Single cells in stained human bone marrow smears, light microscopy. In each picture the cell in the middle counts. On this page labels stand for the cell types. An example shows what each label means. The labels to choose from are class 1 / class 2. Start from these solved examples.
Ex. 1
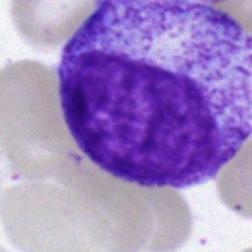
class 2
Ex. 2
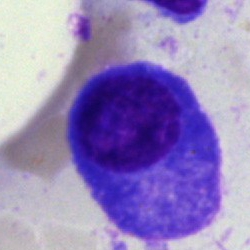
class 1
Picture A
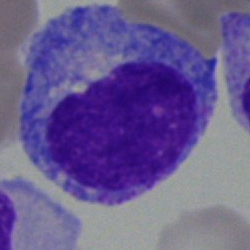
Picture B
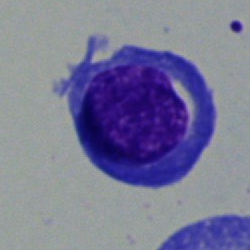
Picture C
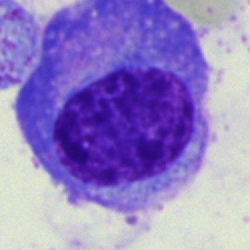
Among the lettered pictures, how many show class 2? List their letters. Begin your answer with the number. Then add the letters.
1: A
